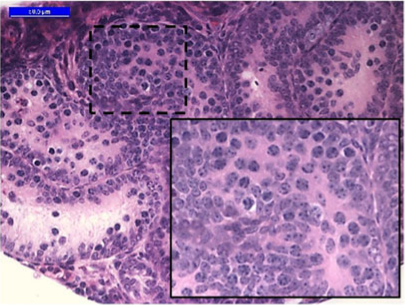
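This is a section of testis showing seminiferous tubules cut in different planes. Thin strands of tissue with flattened nuclei separate neighbouring tubules. The enlarged framed area shows the closely packed round nuclei in more detail, many with visible chromatin granules, giving the tubule a full, cellular appearance.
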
